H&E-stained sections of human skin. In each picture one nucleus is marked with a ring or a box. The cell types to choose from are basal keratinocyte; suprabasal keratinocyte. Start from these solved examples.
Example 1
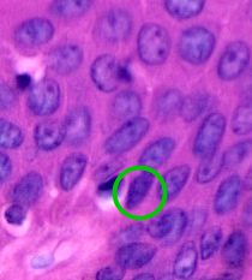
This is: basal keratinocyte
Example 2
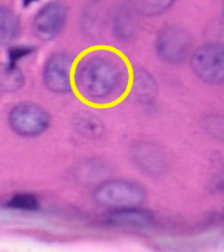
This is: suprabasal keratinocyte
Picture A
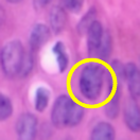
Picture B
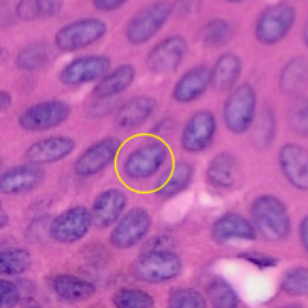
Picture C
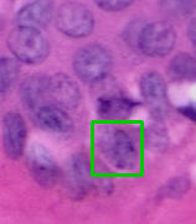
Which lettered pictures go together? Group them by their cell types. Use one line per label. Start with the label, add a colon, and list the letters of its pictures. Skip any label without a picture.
basal keratinocyte: A, C
suprabasal keratinocyte: B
